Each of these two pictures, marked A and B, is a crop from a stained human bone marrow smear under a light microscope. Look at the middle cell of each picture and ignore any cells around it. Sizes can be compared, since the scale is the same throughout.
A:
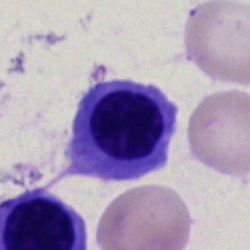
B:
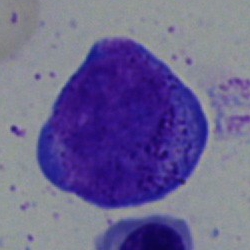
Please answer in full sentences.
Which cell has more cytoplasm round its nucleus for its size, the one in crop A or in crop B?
Of the two, the nucleus in crop A leaves more room for cytoplasm.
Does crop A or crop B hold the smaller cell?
It is the cell in crop A; the cell in crop B has about 2.5 times its area.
